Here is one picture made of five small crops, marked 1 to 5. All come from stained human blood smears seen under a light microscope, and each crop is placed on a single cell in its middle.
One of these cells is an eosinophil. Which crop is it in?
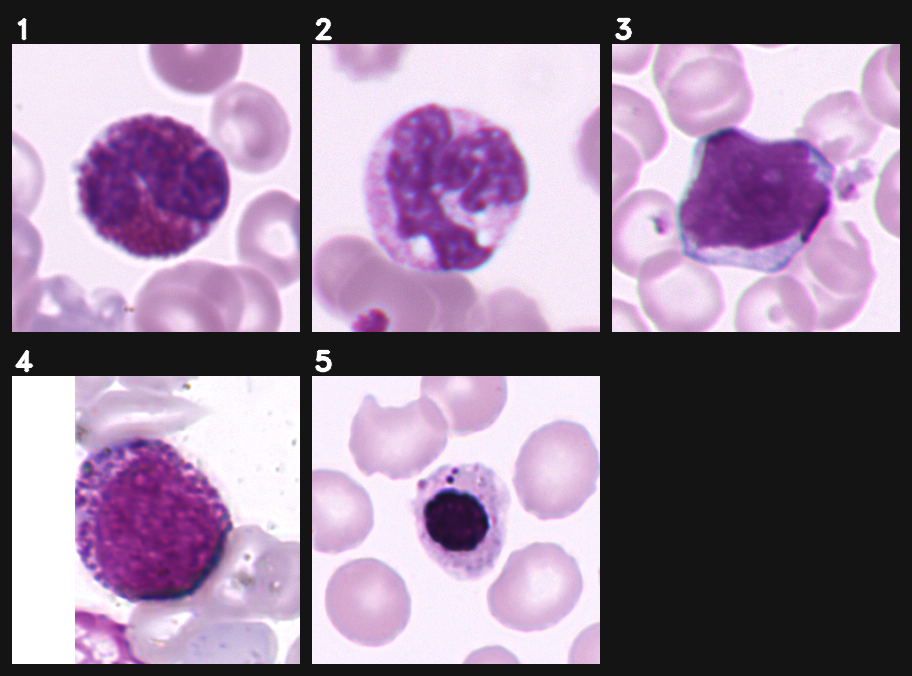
1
